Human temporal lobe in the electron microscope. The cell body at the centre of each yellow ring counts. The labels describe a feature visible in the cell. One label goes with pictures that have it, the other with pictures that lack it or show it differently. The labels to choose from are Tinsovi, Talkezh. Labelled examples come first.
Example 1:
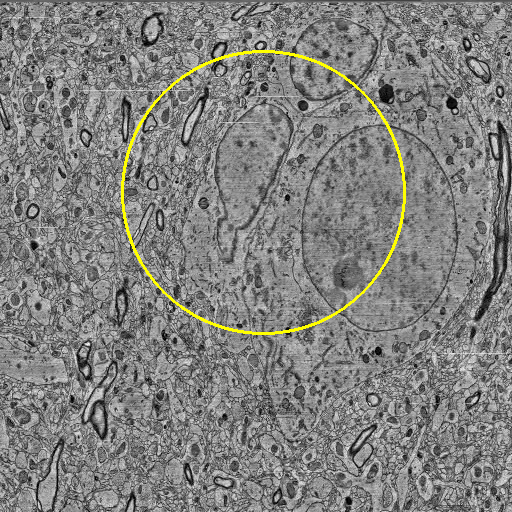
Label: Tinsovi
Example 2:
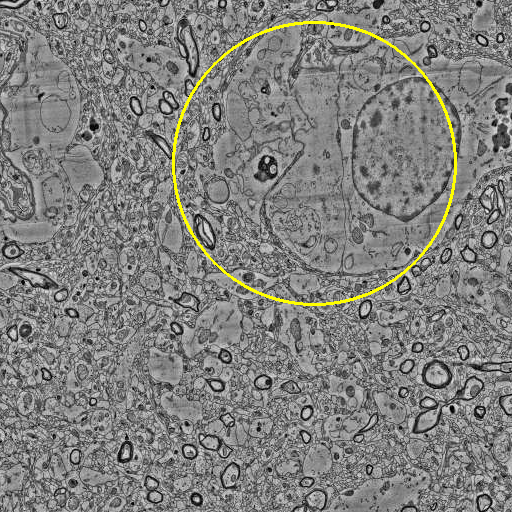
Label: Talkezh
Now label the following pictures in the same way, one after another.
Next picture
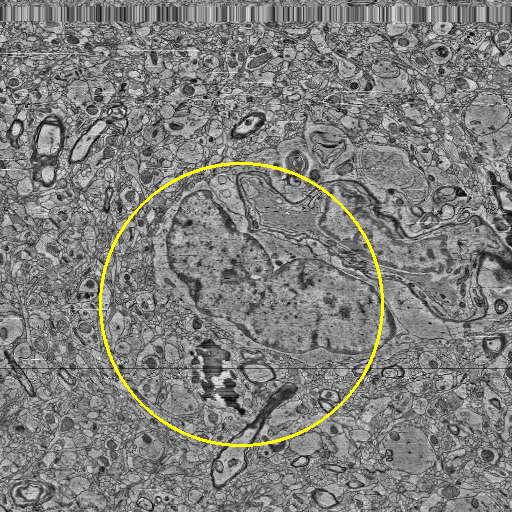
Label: Tinsovi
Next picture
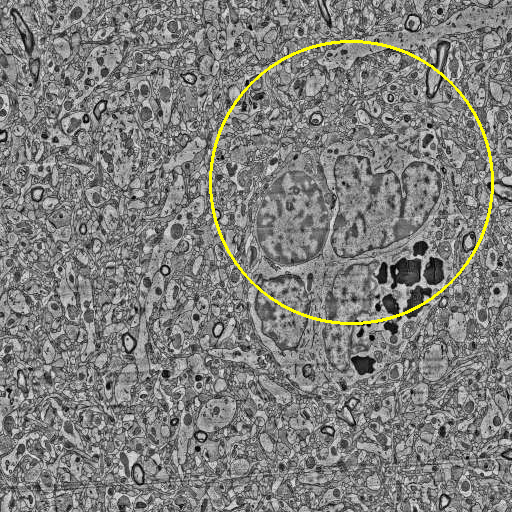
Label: Tinsovi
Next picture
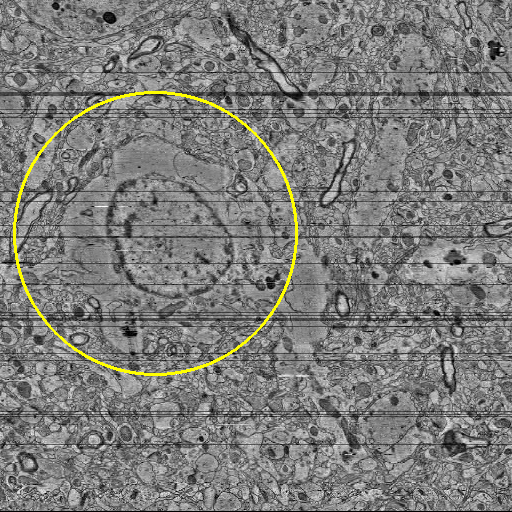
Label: Tinsovi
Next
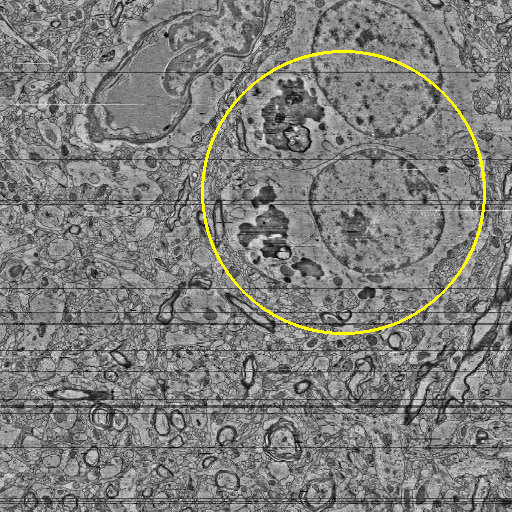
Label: Talkezh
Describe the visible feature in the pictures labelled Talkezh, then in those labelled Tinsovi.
In Talkezh: smooth nuclear envelopes without deep folds. In Tinsovi: deeply folded or indented nuclear envelopes.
